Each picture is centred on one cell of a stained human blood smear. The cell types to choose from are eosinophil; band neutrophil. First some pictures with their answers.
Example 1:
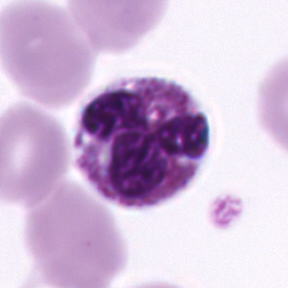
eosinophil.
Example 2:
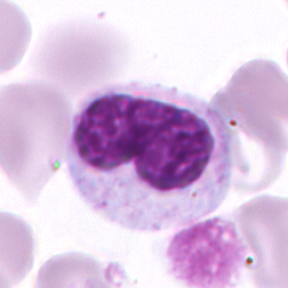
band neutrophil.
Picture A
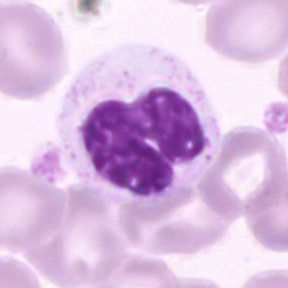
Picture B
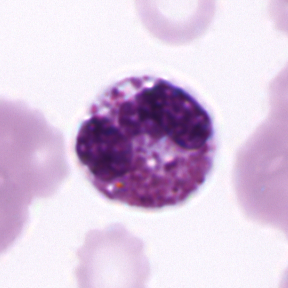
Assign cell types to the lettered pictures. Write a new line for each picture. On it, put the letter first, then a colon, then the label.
A: band neutrophil.
B: eosinophil.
